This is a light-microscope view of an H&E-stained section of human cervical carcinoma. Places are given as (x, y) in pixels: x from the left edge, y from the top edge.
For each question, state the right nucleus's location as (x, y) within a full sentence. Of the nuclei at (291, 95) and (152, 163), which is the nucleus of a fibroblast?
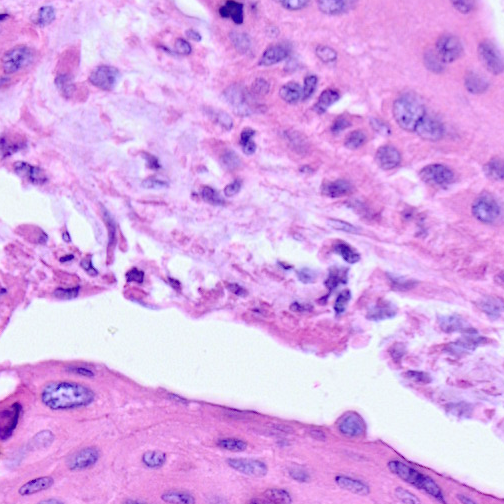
Among the two, the nucleus at (152, 163) is the nucleus of a fibroblast.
